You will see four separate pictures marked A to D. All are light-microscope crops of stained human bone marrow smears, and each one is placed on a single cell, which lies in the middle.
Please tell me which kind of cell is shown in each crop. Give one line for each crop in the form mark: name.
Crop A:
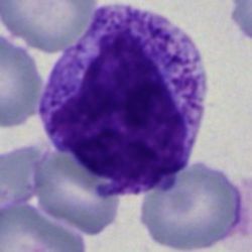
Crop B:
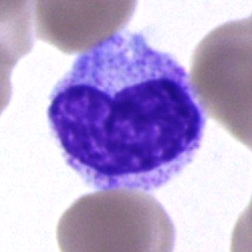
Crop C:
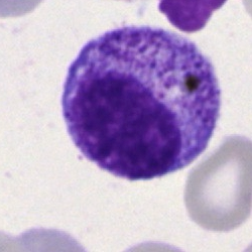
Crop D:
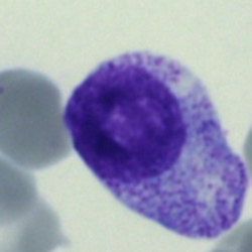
A: myelocyte
B: metamyelocyte
C: myelocyte
D: promyelocyte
